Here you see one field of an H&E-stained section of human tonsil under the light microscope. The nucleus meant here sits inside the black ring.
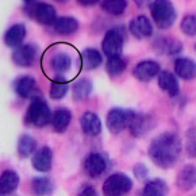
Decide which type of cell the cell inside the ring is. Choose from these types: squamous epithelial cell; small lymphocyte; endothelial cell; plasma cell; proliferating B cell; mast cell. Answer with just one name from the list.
small lymphocyte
